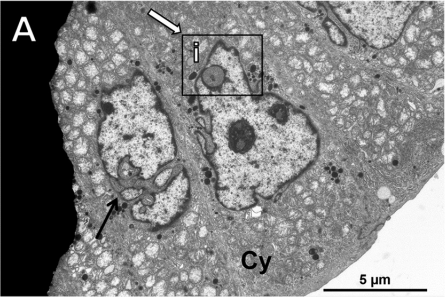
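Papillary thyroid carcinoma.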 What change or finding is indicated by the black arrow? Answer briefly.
unusual invaginations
